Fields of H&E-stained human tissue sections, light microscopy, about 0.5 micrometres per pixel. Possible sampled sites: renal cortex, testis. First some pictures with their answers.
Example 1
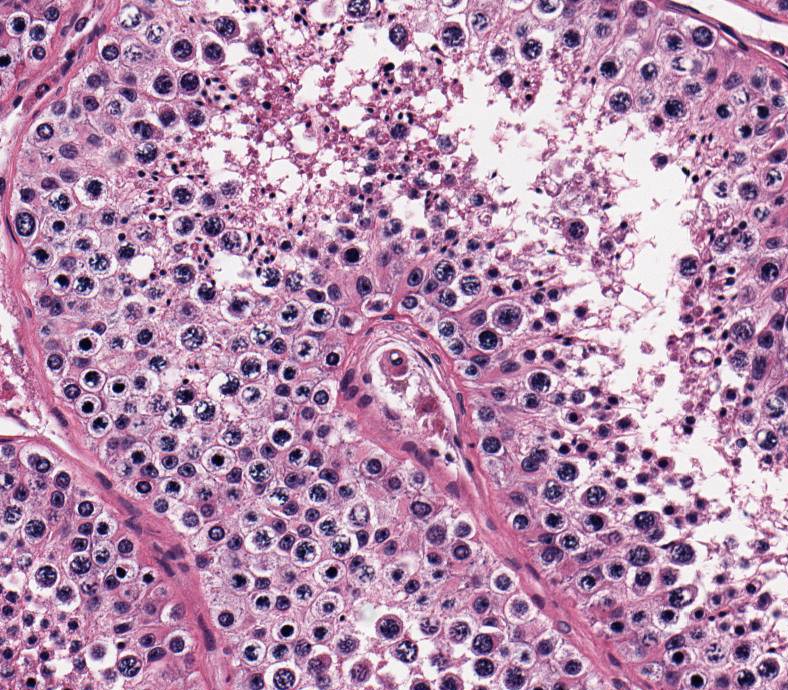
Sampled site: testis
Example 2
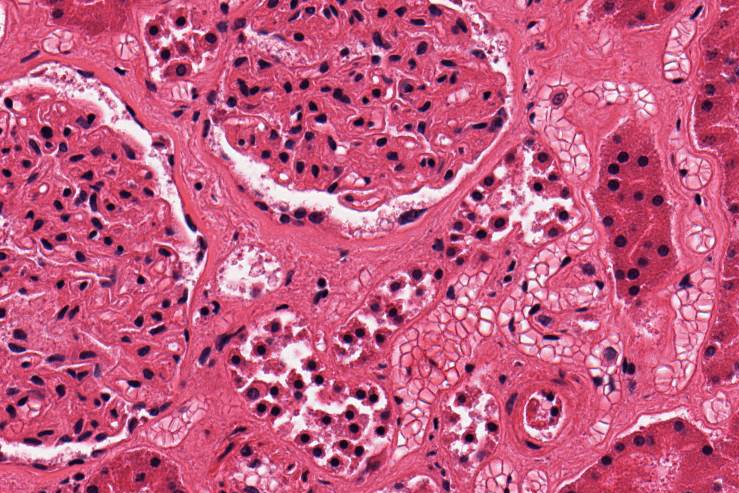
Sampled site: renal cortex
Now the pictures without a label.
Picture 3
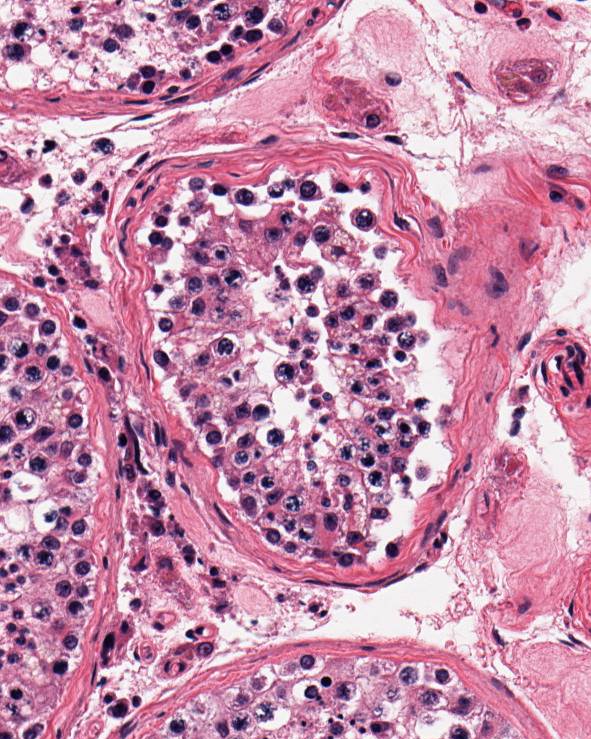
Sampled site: testis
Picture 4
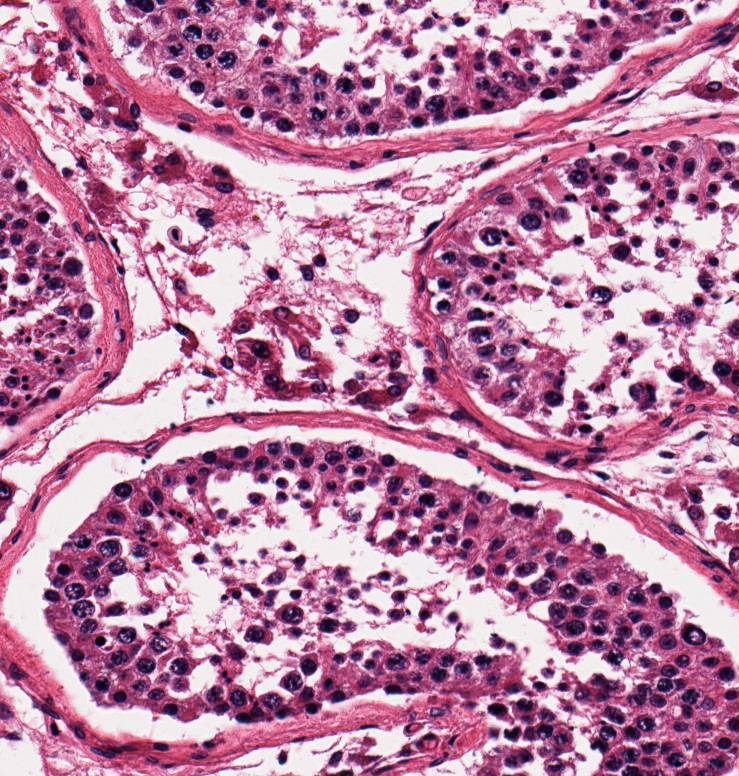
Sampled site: testis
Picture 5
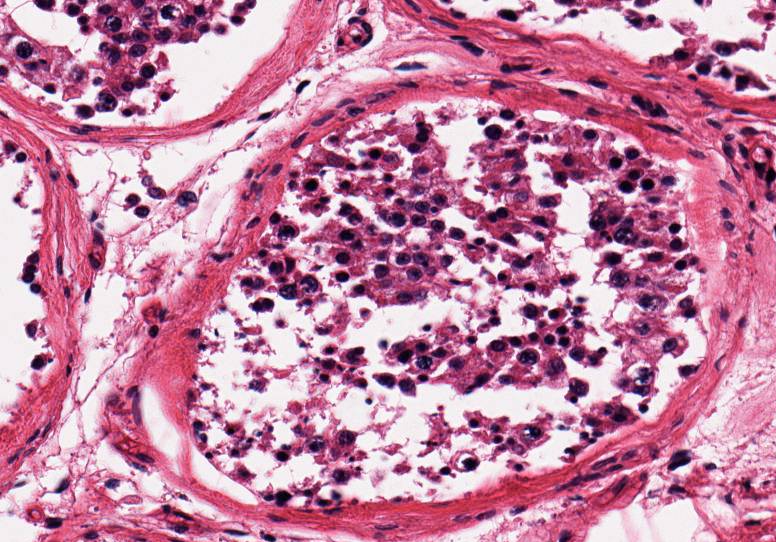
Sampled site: testis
